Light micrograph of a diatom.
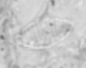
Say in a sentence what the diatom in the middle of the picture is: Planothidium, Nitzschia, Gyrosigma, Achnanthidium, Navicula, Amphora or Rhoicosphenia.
This is Nitzschia.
